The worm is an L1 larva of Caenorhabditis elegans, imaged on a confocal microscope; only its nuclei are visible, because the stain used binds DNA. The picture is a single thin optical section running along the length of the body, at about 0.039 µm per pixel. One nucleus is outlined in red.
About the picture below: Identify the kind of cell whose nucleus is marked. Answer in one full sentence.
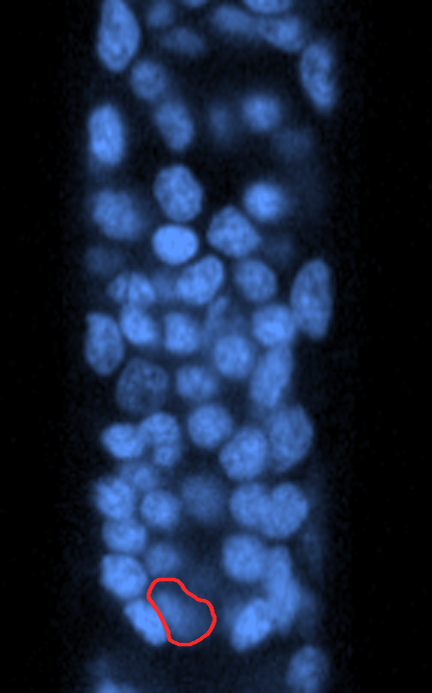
This nucleus is from a GLR cell.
